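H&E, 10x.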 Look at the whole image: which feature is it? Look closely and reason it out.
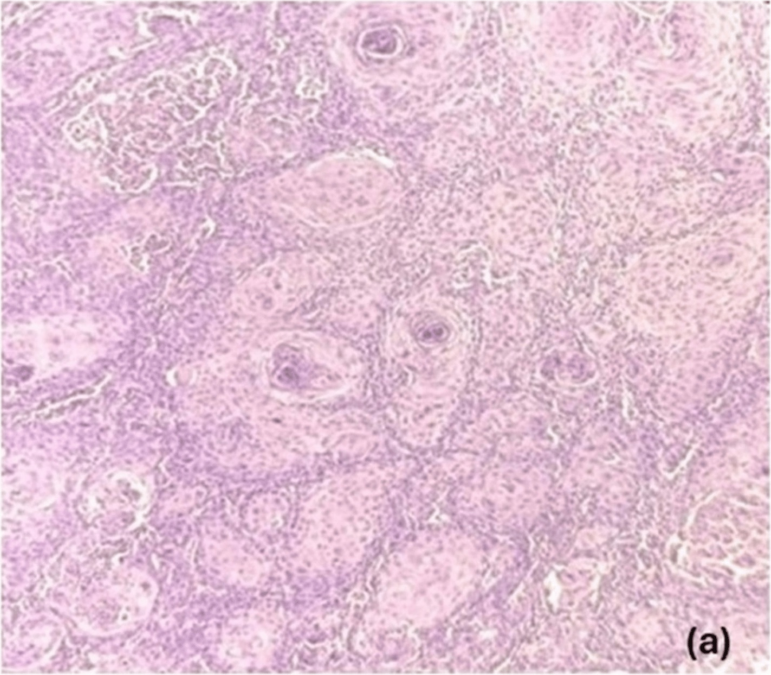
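Round structures of concentric, onion-skin pink layers sit within the tumour nests. Their centres are pink to purplish, with flattened cells wrapped around them.
Hence: keratin pearls.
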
